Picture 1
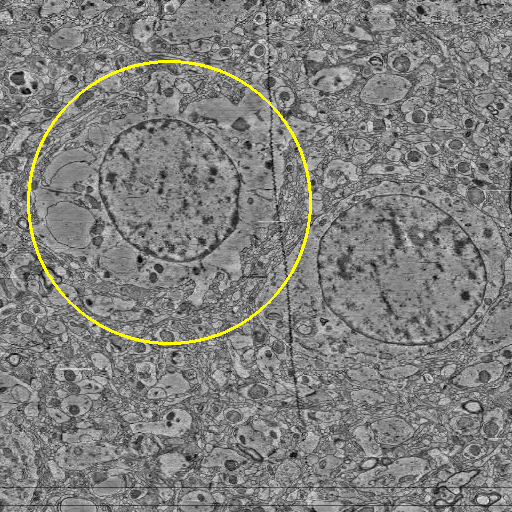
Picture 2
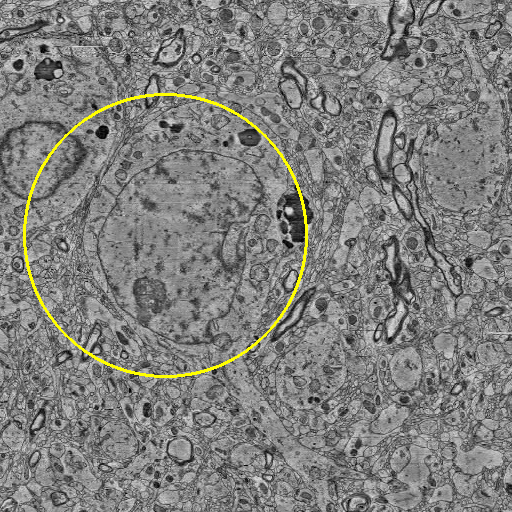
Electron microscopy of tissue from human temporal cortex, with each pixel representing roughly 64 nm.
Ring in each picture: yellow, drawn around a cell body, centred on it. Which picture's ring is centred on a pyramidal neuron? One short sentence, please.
Picture 2 is the one.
